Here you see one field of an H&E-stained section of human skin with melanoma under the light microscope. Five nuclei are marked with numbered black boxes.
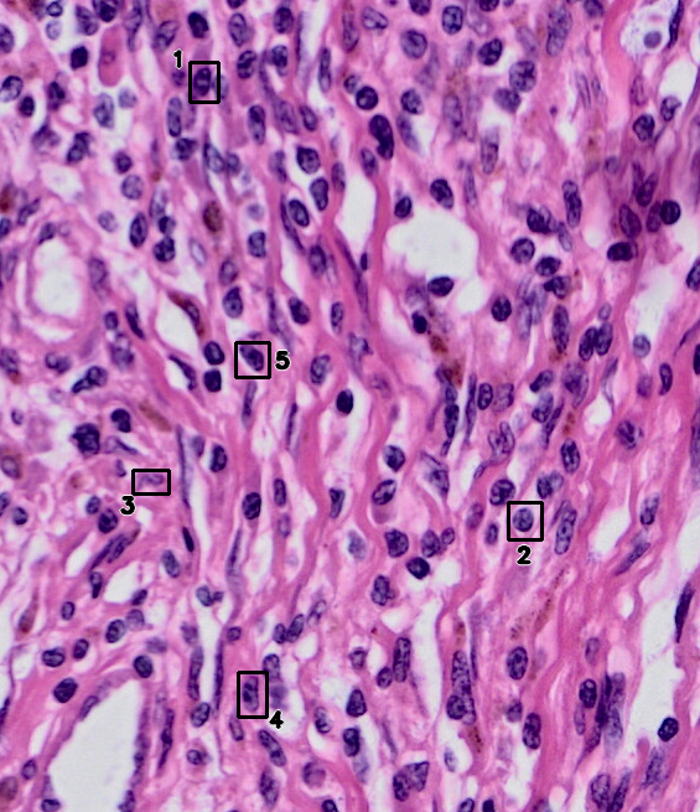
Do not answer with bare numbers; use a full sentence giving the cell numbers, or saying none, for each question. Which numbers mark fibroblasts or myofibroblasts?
Cell 3 is a fibroblast or myofibroblast; every other numbered cell is something else.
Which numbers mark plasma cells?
Exactly one of the numbered cells is a plasma cell, namely cell 1.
